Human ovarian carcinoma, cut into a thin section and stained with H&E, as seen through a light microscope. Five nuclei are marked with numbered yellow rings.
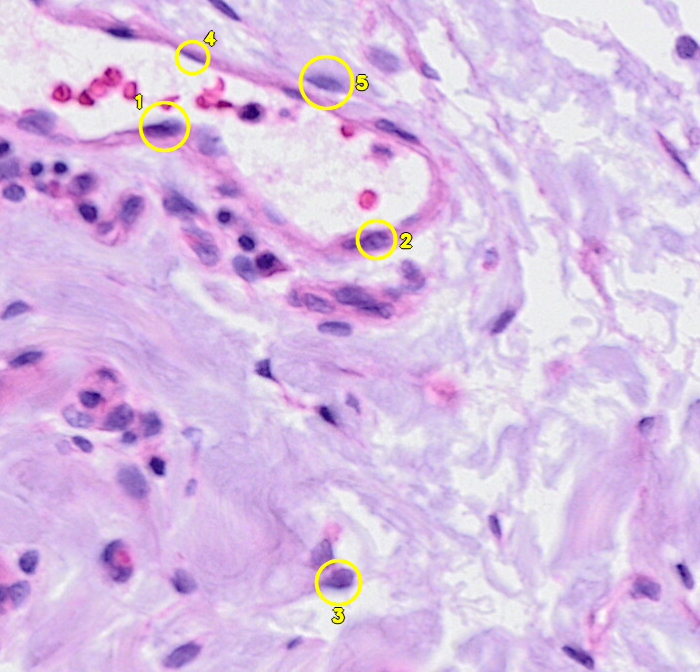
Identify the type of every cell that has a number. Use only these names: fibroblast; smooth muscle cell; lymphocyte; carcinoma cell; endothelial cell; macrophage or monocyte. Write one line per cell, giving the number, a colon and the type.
1: endothelial cell
2: endothelial cell
3: fibroblast
4: endothelial cell
5: fibroblast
